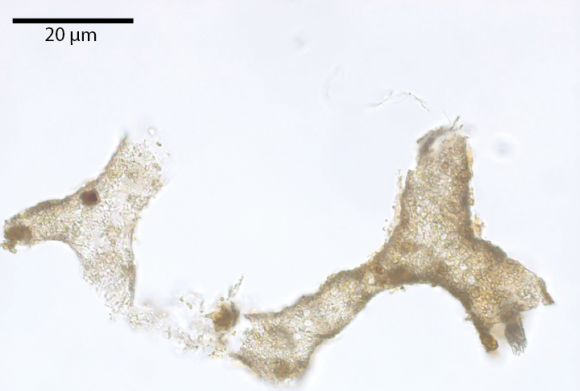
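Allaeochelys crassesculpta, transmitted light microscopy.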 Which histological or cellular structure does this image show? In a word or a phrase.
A: Blood vessels-like microstructures.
